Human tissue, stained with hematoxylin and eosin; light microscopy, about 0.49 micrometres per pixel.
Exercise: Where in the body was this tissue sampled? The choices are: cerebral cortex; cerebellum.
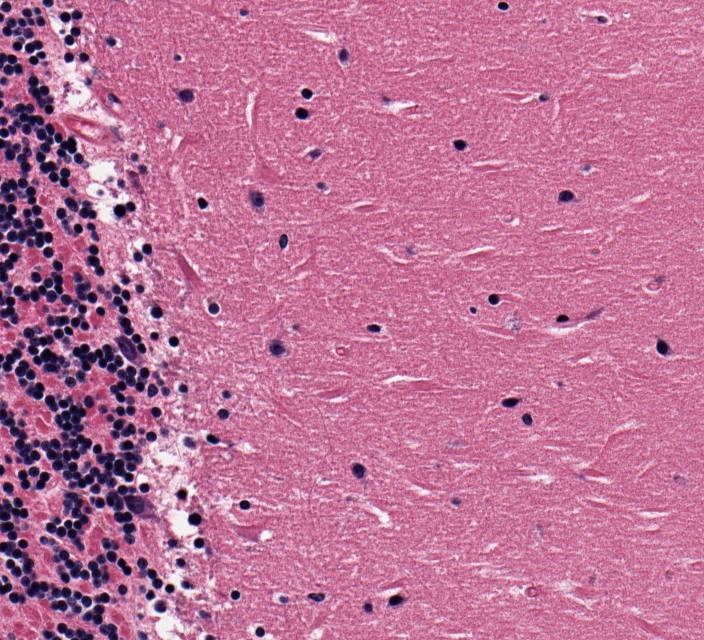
cerebellum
